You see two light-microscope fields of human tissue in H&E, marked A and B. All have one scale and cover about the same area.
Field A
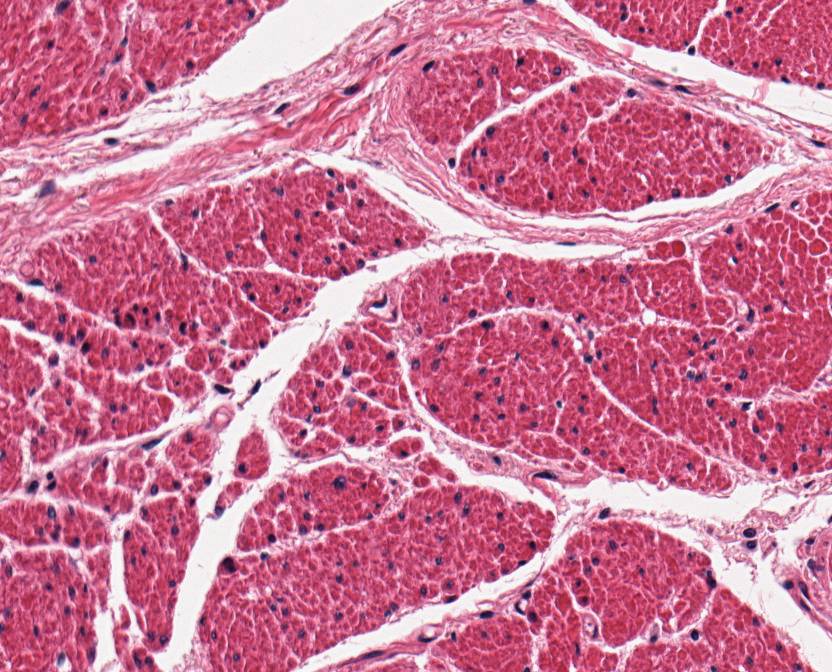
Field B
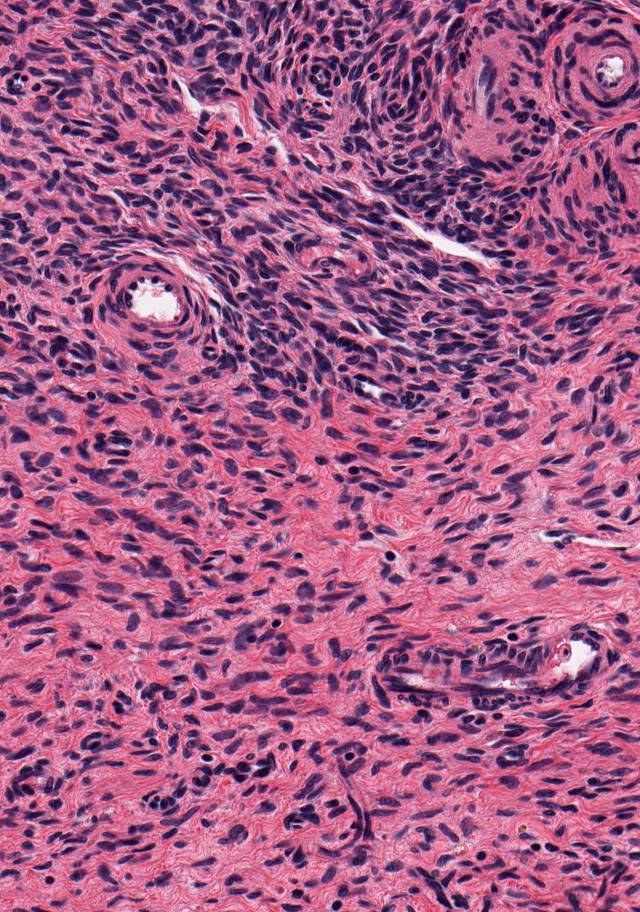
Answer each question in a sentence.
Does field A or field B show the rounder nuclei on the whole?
The nuclei are rounder in field A.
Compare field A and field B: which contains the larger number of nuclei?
There are more nuclei in field B.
